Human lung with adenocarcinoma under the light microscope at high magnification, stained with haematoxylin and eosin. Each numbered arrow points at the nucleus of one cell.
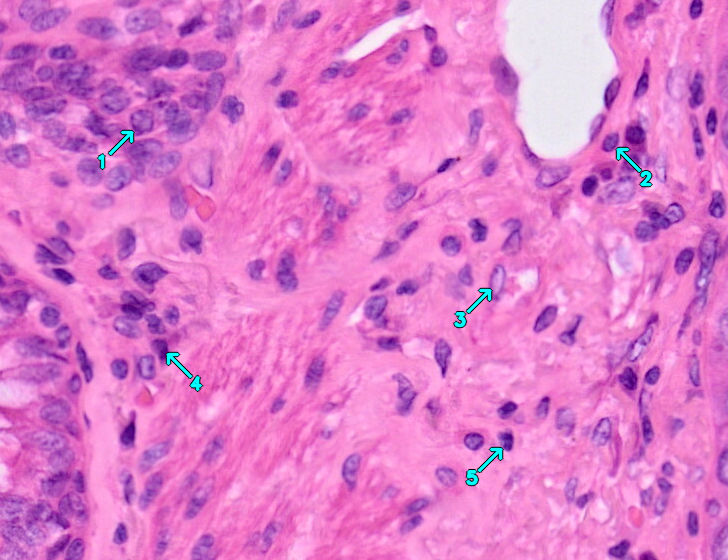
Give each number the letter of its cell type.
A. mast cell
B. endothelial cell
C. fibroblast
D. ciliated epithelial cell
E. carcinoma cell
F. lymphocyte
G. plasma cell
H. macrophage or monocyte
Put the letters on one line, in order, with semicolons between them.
D; A; B; G; F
